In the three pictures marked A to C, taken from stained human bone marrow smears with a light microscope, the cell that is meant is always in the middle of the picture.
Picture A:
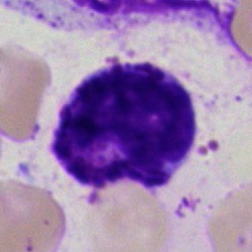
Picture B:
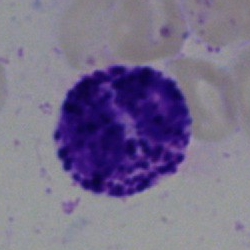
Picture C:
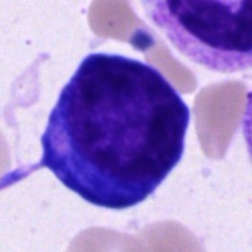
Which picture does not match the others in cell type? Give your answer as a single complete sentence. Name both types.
Picture C is the odd one out: it shows a proerythroblast, while the others show basophils.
